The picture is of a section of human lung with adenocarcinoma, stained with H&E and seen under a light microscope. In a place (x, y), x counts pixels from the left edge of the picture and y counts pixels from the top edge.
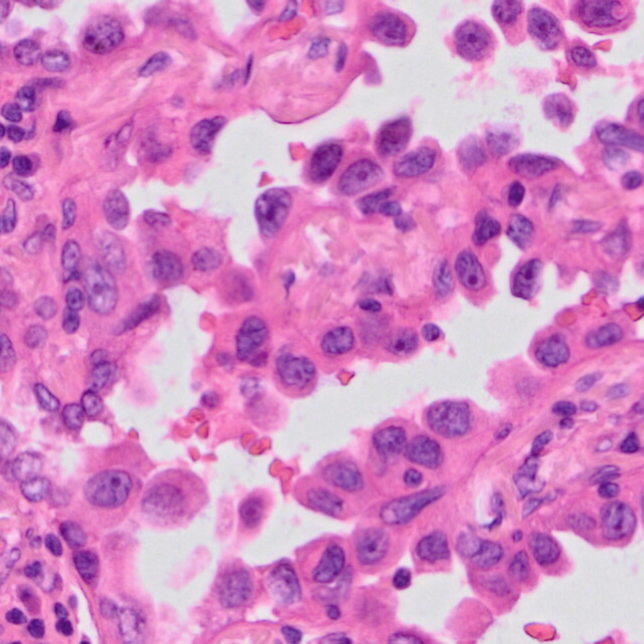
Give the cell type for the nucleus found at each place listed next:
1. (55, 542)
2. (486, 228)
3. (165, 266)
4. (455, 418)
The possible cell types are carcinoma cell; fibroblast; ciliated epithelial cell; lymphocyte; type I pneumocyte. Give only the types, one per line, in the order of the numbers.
lymphocyte
carcinoma cell
carcinoma cell
carcinoma cell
